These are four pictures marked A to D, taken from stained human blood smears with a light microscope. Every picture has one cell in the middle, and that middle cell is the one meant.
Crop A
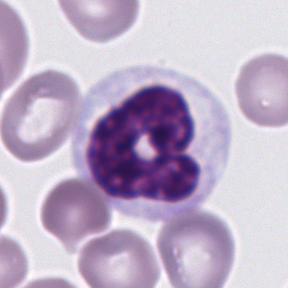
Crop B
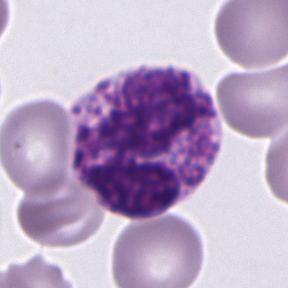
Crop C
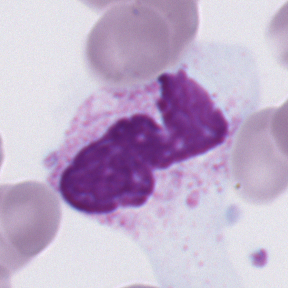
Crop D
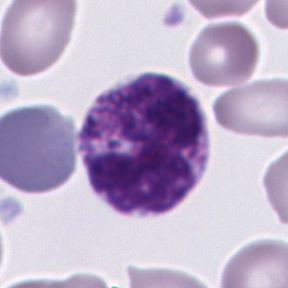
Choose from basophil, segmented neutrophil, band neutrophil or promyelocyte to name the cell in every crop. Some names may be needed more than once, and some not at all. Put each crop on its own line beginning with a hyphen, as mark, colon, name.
- A: band neutrophil
- B: basophil
- C: segmented neutrophil
- D: basophil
